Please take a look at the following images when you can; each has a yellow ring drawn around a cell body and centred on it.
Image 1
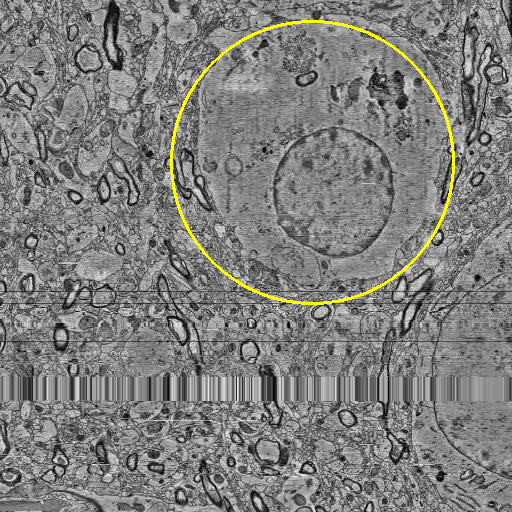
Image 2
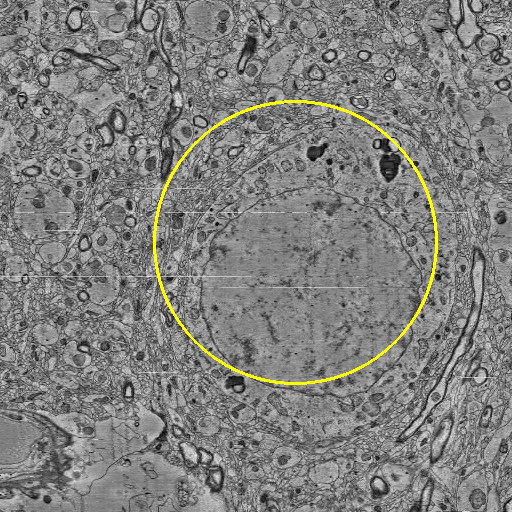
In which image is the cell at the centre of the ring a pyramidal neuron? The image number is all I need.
2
